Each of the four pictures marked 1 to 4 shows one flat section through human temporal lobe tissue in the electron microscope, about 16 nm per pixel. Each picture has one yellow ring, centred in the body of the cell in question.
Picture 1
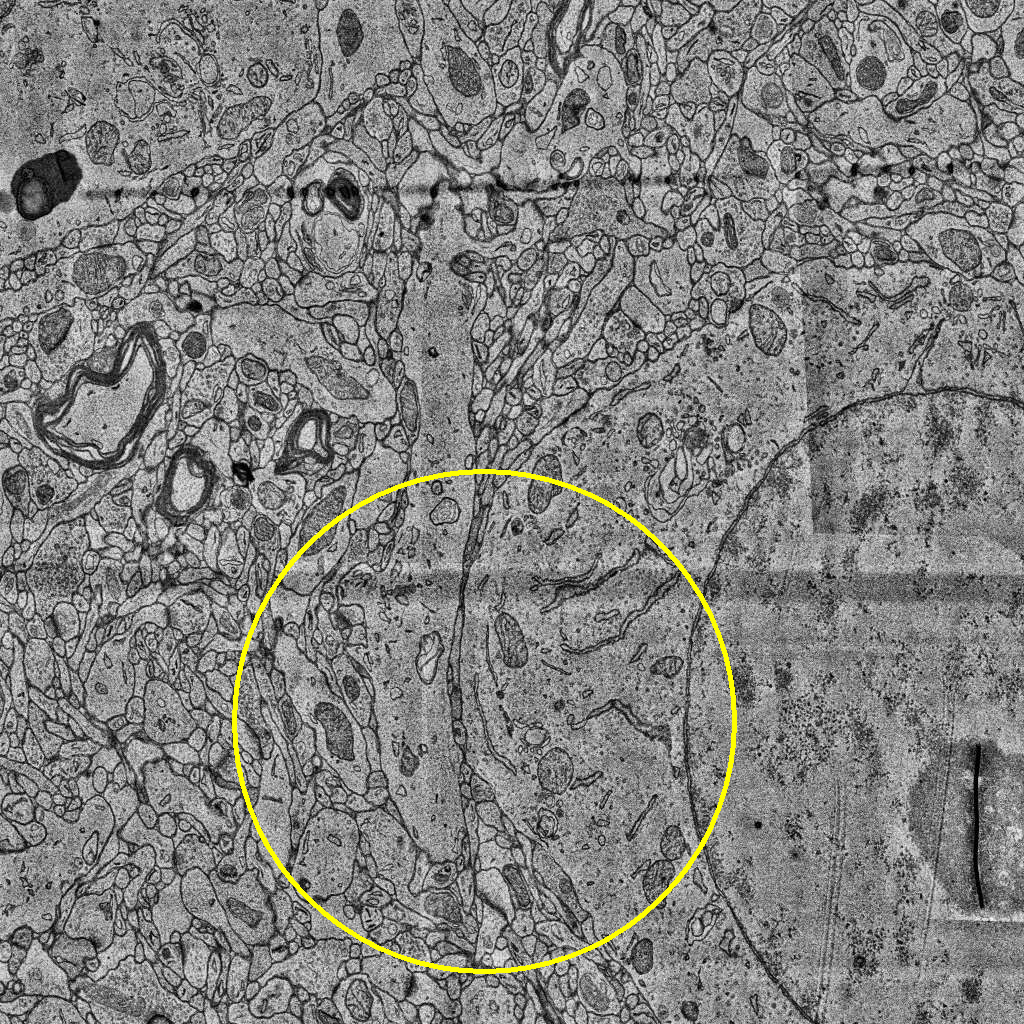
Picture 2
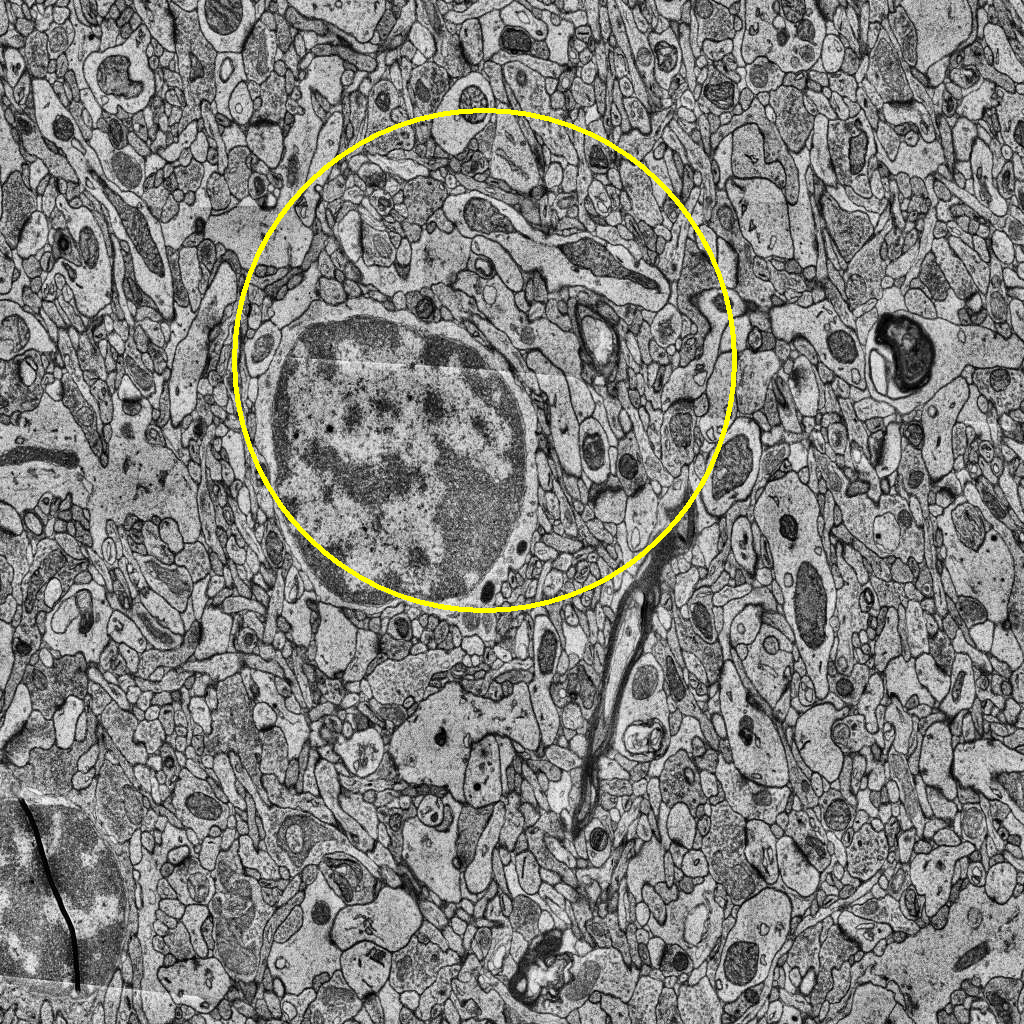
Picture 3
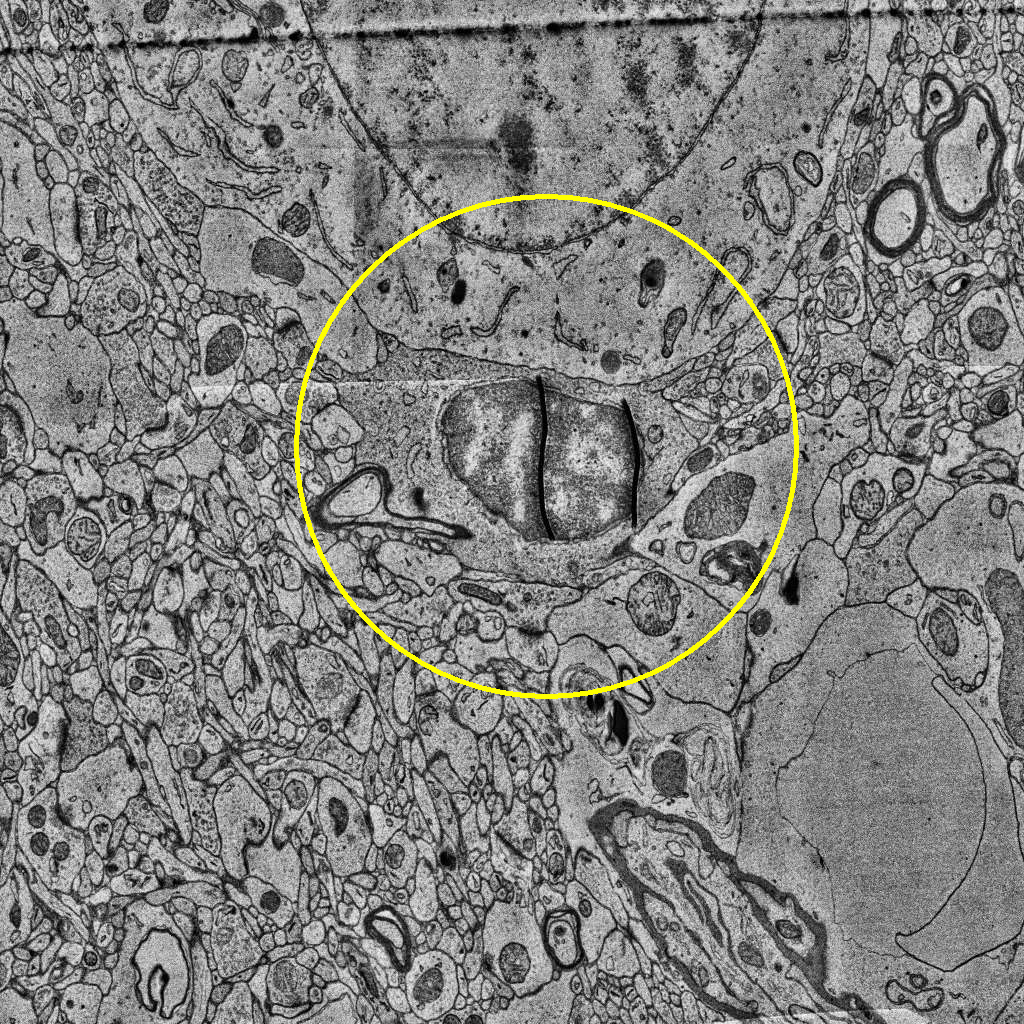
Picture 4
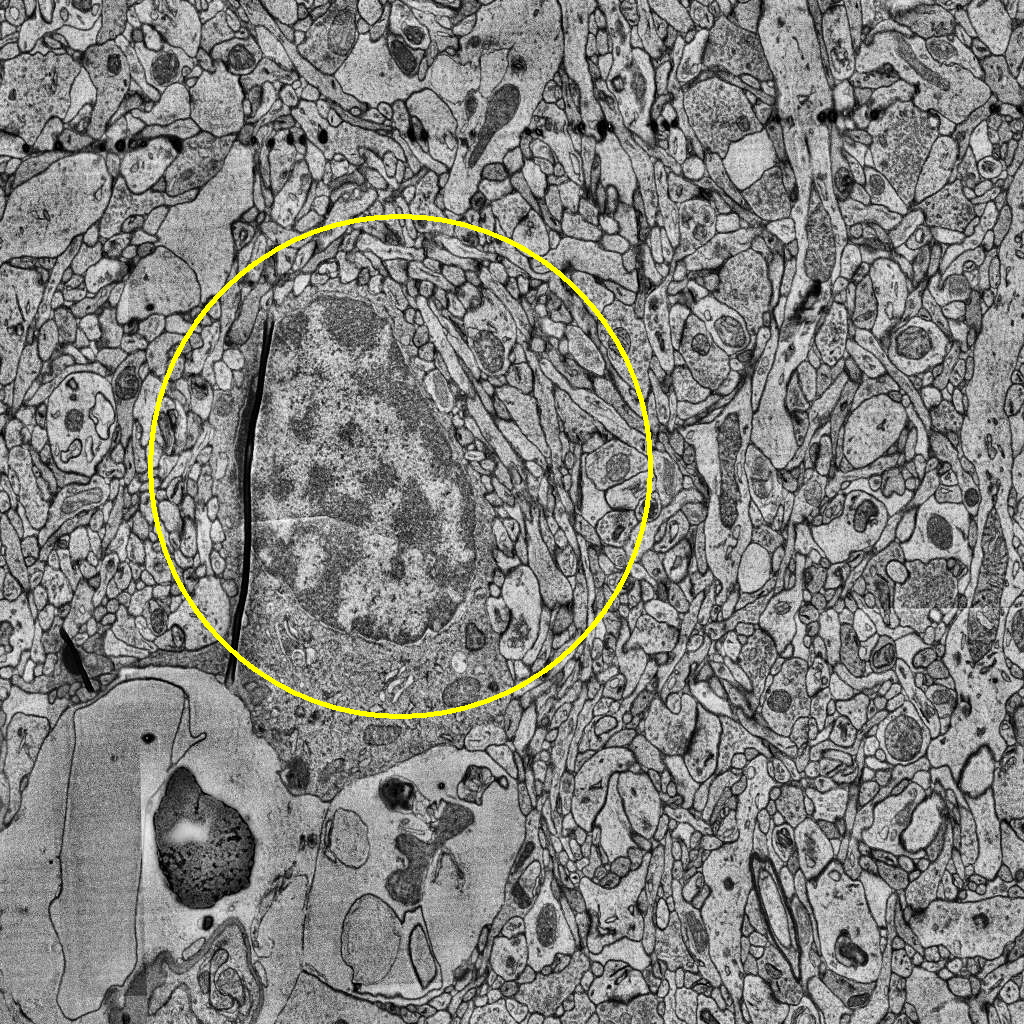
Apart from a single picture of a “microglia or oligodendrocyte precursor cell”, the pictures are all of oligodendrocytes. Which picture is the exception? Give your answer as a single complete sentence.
Picture 2 shows the “microglia or oligodendrocyte precursor cell”.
